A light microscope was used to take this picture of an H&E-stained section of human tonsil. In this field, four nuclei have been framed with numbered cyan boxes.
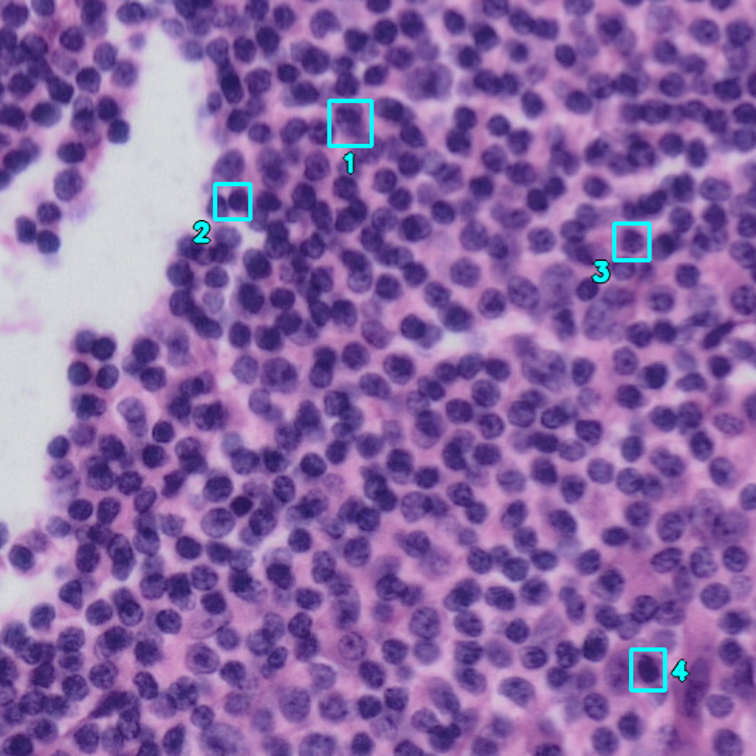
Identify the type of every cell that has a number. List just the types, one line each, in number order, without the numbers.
small lymphocyte
small lymphocyte
small lymphocyte
plasma cell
